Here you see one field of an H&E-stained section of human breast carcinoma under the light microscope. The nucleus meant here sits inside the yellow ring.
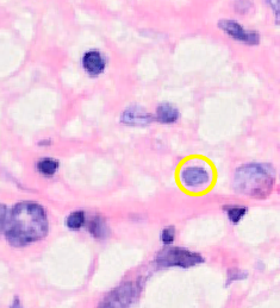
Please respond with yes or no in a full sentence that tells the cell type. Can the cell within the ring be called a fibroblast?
No, mate, the cell within the ring is a lymphocyte rather than a fibroblast.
